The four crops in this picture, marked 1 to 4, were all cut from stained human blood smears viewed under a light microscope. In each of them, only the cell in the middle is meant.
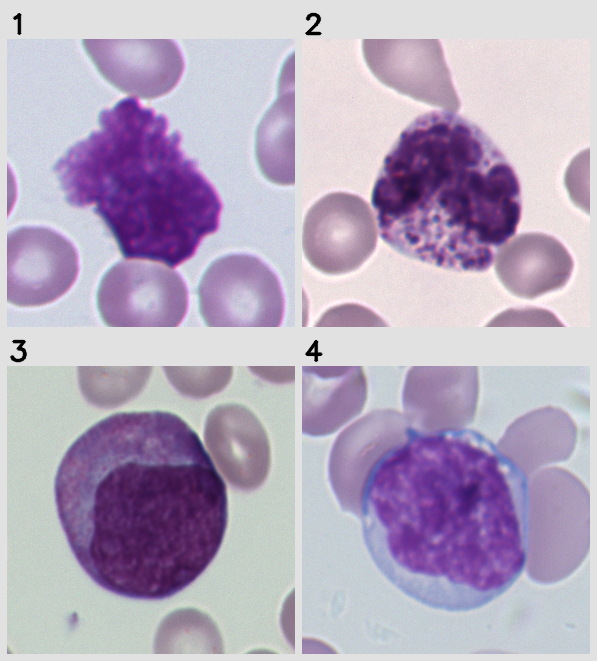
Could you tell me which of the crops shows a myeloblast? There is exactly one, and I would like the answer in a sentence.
The crop carrying a myeloblast at the center is crop 4.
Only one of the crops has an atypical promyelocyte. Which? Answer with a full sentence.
Crop 3 is the one depicting an atypical promyelocyte.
